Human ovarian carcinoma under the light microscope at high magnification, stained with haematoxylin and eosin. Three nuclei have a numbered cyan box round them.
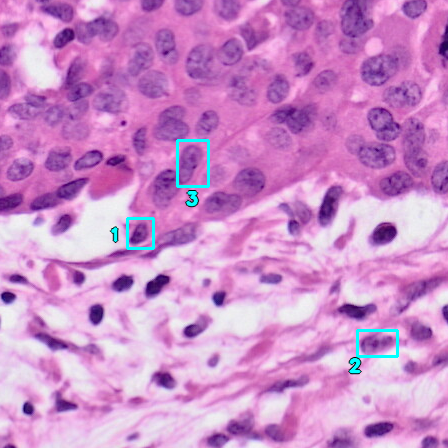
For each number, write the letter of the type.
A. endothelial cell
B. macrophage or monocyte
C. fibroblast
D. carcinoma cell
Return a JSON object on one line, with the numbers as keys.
{"1": "B", "2": "C", "3": "D"}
